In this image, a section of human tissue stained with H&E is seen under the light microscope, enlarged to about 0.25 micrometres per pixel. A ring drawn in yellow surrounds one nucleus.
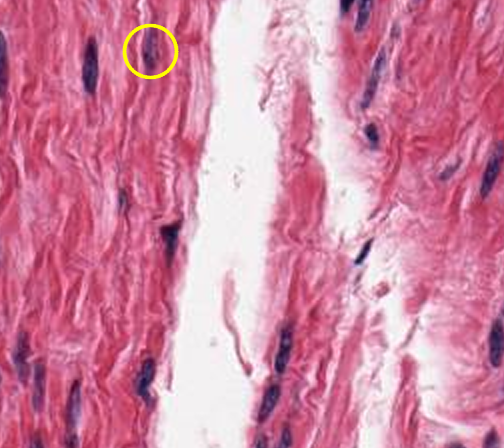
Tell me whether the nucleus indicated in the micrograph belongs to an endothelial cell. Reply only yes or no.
no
